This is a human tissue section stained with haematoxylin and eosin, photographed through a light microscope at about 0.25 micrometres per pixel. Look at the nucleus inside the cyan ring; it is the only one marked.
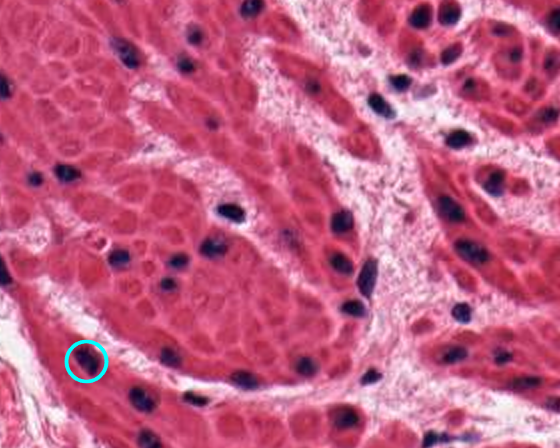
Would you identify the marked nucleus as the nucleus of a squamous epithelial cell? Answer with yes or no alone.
no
